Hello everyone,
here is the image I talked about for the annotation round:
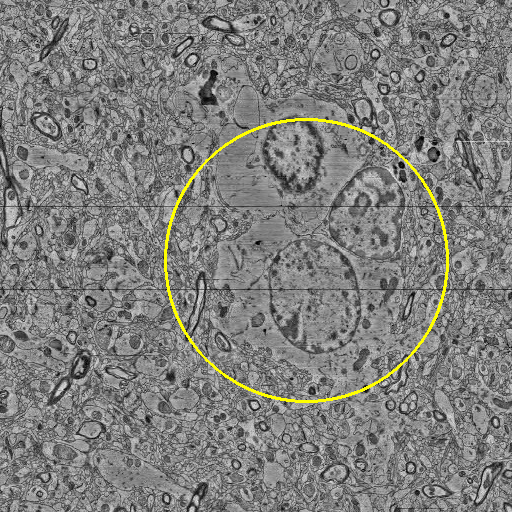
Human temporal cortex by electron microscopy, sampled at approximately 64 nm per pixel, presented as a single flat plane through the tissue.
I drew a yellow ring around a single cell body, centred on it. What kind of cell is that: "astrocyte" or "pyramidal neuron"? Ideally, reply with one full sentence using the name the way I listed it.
The cell your yellow ring is centred on is an astrocyte, going by your list.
